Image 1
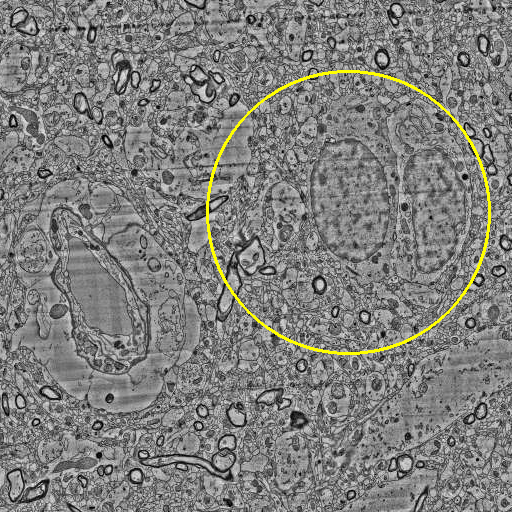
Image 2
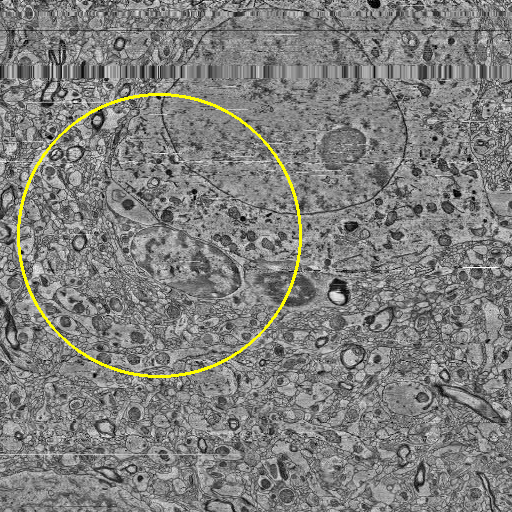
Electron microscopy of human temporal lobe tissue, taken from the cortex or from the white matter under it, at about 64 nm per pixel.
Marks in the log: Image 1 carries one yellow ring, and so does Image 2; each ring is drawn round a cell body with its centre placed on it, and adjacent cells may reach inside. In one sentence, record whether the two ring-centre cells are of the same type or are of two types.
The two cells at the ring centres, one in each image, are of two types.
